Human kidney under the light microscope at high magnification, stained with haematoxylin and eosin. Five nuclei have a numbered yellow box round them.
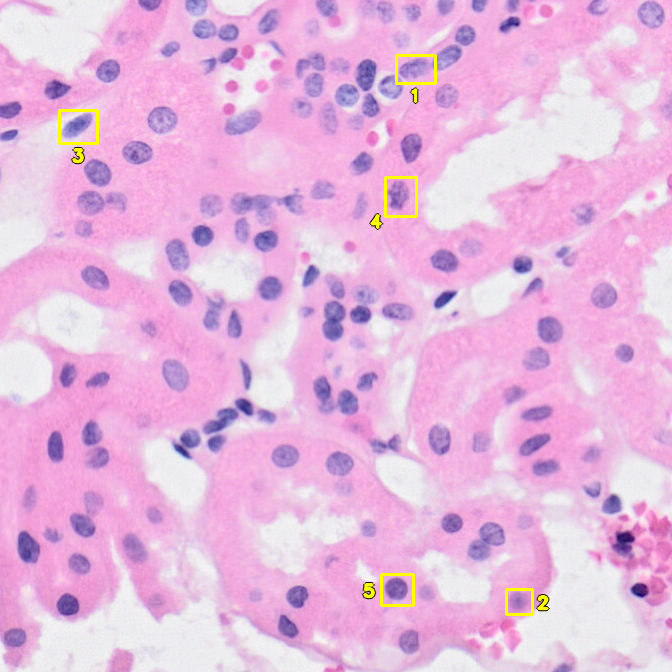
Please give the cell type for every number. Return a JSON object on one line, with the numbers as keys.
{"1": "collecting duct cell", "2": "proximal tubule cell", "3": "endothelial cell", "4": "proximal tubule cell", "5": "proximal tubule cell"}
